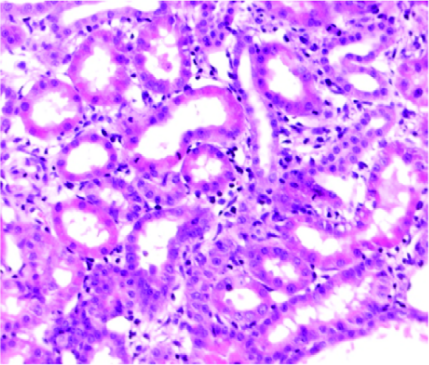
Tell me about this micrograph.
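These are kidney proximal tubules cut in cross and oblique section, each lined by a continuous layer of cuboidal epithelial cells with round, dark purple nuclei. The lumens are open and rimmed by a bright pink band at the cell surface, and the cells sit close together with little debris inside the tubules. Between the tubules lies a modest interstitium with scattered nuclei.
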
